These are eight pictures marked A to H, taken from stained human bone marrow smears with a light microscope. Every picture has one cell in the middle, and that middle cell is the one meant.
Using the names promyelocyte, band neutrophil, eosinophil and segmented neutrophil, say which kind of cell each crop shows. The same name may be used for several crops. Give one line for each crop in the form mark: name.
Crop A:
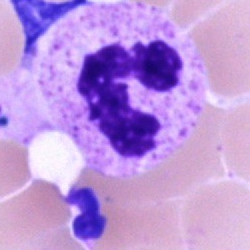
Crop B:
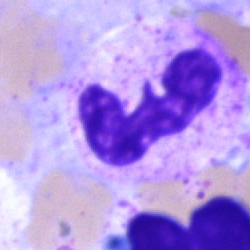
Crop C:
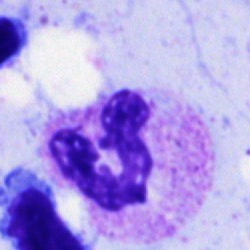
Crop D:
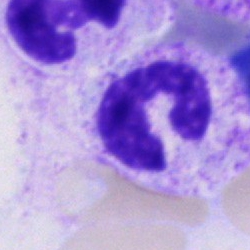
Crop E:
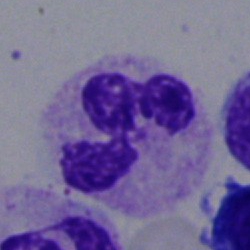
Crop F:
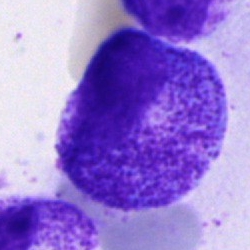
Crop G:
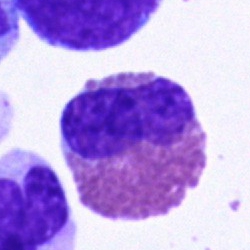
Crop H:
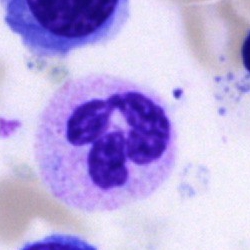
A: segmented neutrophil
B: segmented neutrophil
C: segmented neutrophil
D: band neutrophil
E: segmented neutrophil
F: promyelocyte
G: eosinophil
H: segmented neutrophil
